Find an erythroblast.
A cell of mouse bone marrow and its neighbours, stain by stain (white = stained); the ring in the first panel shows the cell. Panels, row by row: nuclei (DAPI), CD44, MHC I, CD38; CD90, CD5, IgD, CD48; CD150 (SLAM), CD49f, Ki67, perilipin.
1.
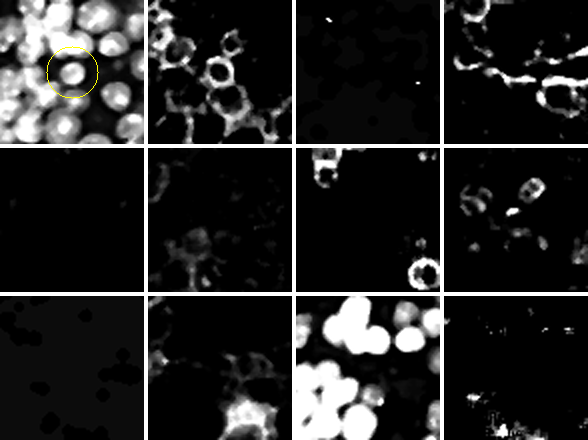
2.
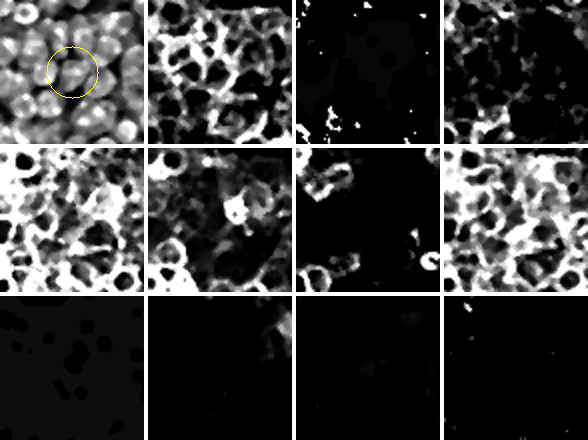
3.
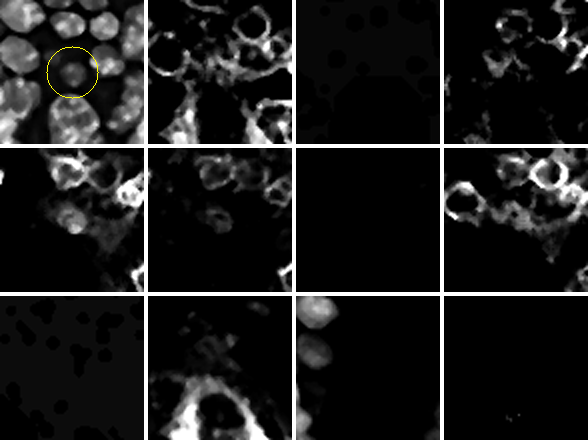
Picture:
1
